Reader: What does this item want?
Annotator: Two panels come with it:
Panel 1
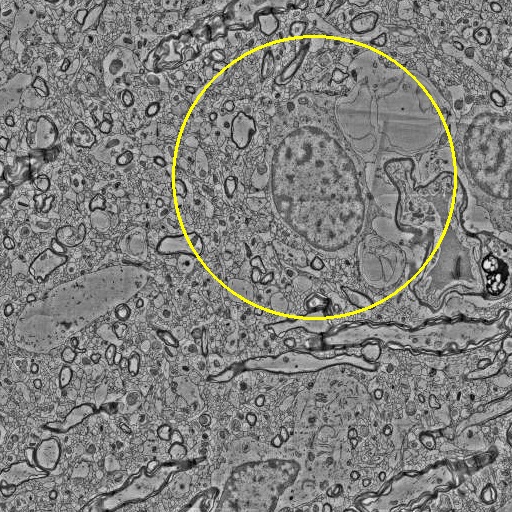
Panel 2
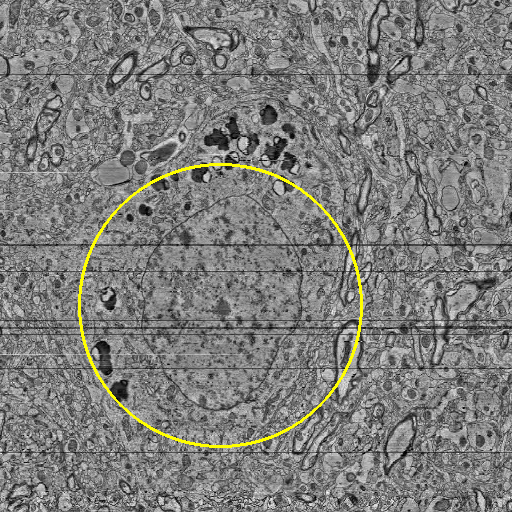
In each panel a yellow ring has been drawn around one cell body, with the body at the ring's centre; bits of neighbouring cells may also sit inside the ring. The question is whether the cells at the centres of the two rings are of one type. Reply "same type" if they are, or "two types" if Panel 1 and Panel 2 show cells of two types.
two types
